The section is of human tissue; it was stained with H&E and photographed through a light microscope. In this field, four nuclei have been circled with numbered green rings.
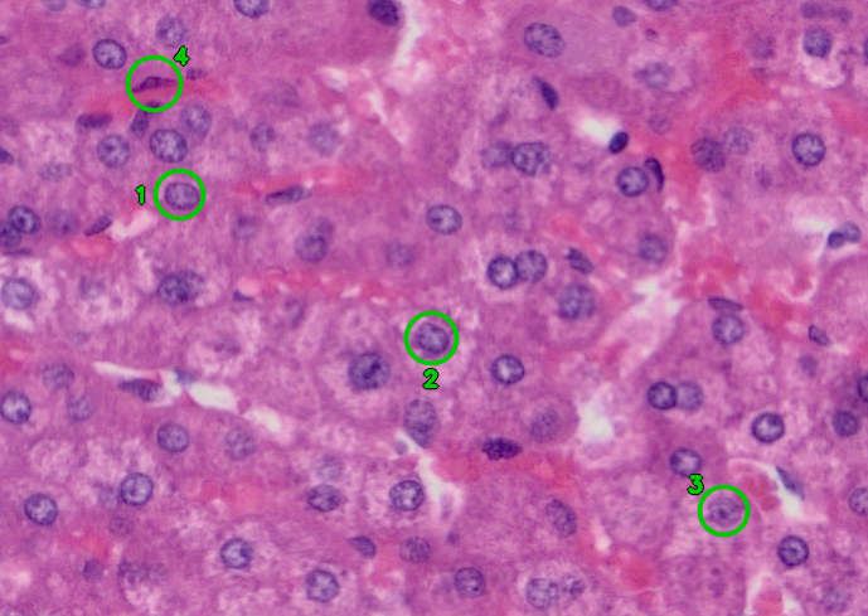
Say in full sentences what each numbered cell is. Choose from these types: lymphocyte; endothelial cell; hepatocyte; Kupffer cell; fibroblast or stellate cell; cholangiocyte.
Cell 1 is a hepatocyte, cell 2 is a hepatocyte, cell 3 is a hepatocyte and cell 4 is a fibroblast or stellate cell.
